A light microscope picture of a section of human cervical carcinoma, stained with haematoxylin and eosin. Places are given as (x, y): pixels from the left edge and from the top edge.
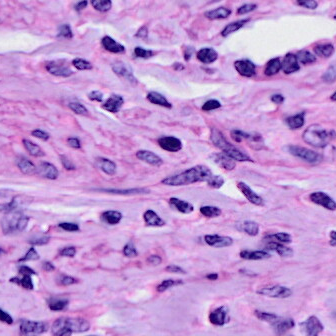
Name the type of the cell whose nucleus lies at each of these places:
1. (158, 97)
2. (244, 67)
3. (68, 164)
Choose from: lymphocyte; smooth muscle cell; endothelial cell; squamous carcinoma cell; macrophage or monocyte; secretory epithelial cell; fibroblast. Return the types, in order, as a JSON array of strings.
["lymphocyte", "lymphocyte", "smooth muscle cell"]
